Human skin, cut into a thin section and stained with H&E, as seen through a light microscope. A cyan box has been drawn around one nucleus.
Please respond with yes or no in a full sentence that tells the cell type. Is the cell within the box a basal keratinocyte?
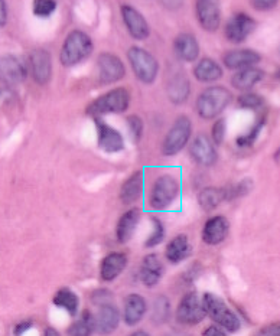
Yes, the cell within the box in this field is a basal keratinocyte.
